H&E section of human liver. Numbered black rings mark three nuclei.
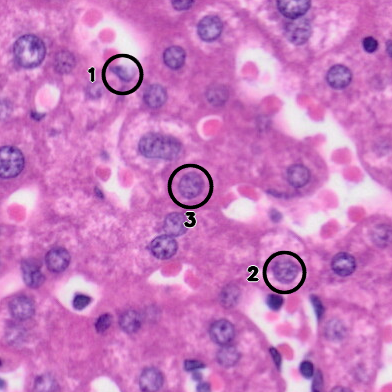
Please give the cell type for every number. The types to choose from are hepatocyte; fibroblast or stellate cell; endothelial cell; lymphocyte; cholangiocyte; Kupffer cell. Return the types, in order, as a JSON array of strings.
["endothelial cell", "hepatocyte", "hepatocyte"]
